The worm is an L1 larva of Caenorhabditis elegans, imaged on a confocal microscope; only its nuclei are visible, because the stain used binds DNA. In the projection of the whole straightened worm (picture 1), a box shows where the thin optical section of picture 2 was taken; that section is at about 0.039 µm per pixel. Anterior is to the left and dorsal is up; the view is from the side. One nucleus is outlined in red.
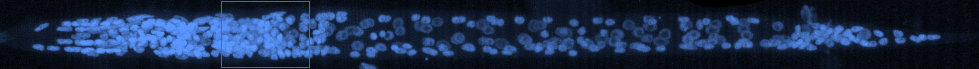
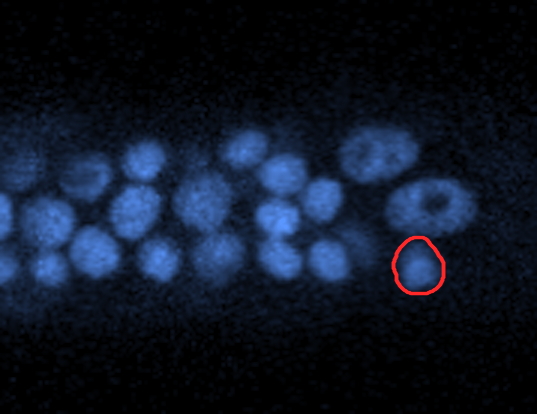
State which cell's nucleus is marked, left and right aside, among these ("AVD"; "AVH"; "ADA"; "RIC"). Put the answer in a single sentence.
This is the nucleus of ADA, a neuron.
